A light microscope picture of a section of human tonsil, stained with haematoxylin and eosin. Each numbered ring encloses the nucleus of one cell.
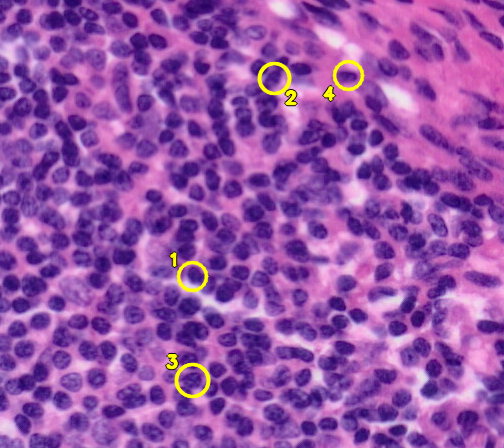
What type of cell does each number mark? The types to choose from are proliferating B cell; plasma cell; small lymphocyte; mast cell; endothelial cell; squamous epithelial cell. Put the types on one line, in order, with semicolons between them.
small lymphocyte; small lymphocyte; small lymphocyte; endothelial cell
